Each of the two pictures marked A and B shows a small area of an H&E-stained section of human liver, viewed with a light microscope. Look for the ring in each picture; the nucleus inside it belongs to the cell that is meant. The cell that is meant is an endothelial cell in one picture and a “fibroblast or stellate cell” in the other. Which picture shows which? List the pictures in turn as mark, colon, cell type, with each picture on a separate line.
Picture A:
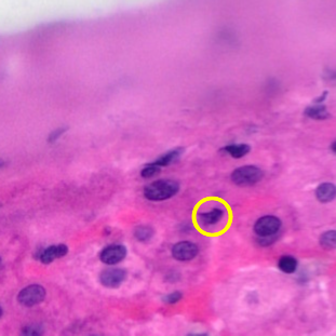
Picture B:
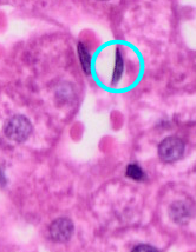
A: fibroblast or stellate cell
B: endothelial cell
